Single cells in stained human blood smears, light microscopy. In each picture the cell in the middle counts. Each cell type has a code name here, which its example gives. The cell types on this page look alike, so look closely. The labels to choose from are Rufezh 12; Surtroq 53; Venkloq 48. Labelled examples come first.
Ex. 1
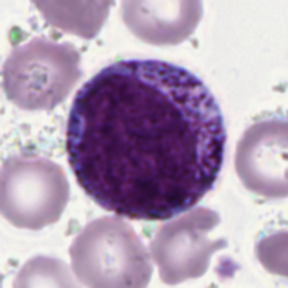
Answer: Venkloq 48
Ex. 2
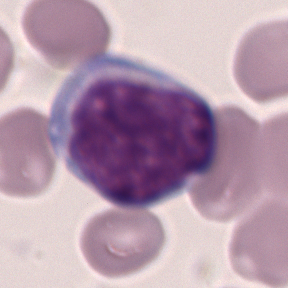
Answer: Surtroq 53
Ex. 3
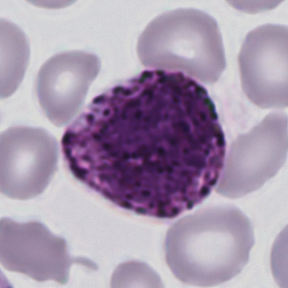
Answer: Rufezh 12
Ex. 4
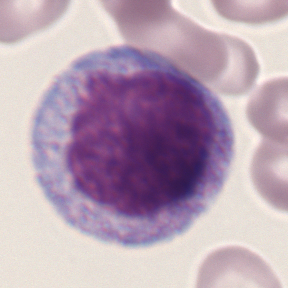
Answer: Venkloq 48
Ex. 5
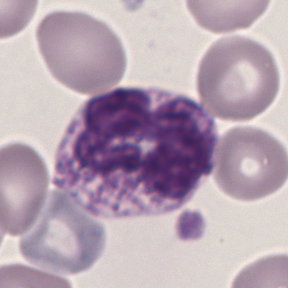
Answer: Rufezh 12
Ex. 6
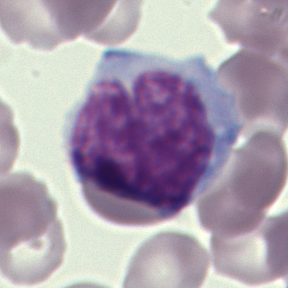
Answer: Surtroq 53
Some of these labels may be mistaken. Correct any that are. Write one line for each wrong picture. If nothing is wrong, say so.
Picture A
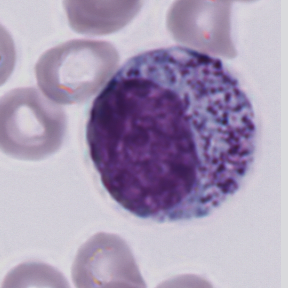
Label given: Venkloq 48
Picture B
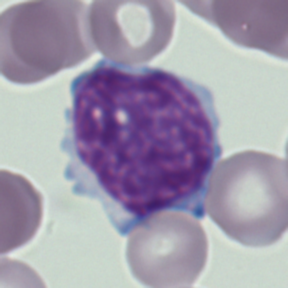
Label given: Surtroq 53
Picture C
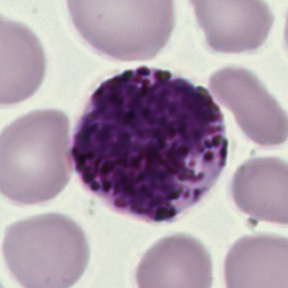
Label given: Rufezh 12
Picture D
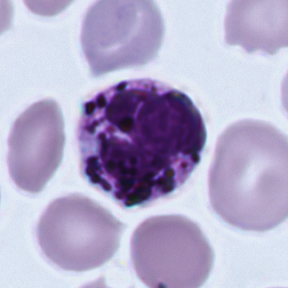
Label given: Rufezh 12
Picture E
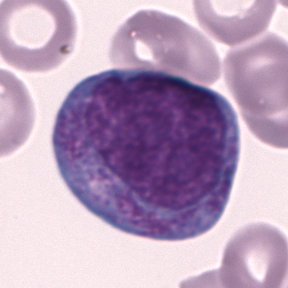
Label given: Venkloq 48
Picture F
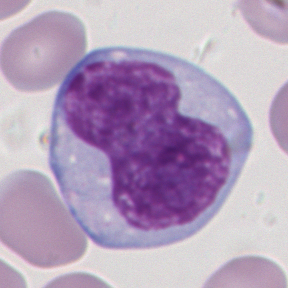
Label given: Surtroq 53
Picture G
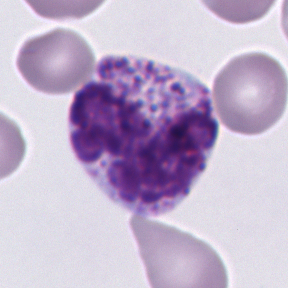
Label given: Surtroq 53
G: Rufezh 12, not Surtroq 53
